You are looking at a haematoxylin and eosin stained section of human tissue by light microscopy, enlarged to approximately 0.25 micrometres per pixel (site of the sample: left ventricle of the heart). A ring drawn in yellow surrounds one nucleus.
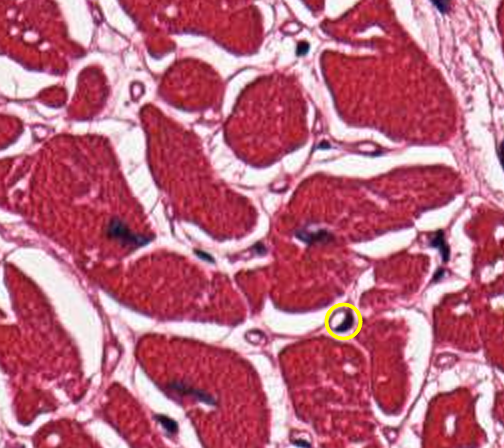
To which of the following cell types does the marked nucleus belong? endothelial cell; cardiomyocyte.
endothelial cell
